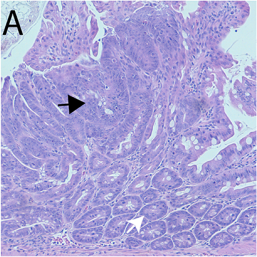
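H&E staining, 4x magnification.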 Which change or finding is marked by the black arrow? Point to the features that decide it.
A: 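The arrow points into a mass of crowded, disorganized epithelium. Glands there are irregular and packed, unlike the orderly round crypts below. On this evidence: dysplasia.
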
